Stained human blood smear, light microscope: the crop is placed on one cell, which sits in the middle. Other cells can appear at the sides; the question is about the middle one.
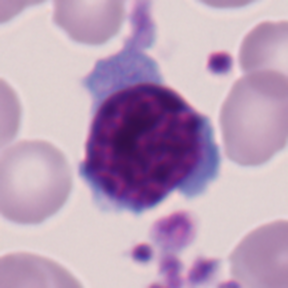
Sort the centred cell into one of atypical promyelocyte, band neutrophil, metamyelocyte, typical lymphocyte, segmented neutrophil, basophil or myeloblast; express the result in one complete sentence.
The single cell at the center of the crop is a typical lymphocyte.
